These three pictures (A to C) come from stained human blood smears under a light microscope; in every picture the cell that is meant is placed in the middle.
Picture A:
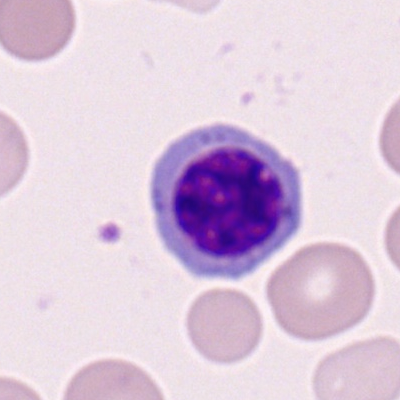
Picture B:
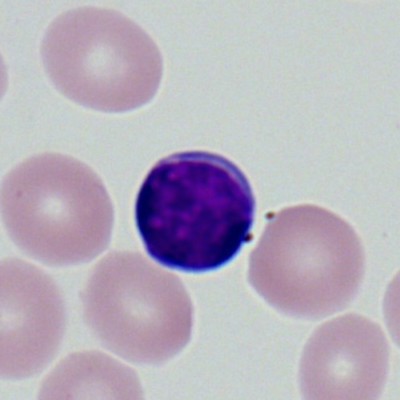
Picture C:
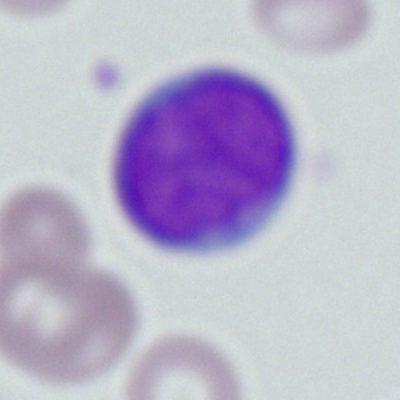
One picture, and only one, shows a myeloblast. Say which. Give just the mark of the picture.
C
